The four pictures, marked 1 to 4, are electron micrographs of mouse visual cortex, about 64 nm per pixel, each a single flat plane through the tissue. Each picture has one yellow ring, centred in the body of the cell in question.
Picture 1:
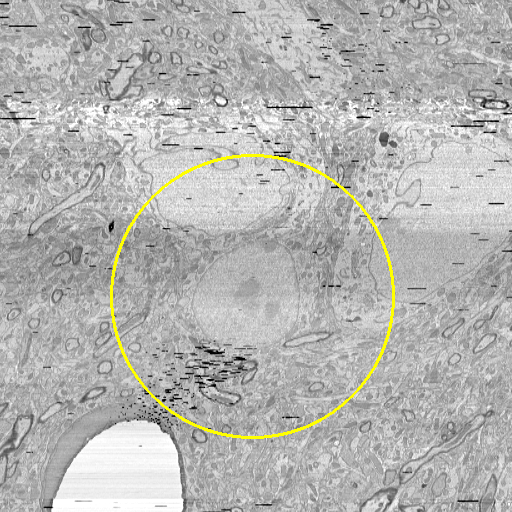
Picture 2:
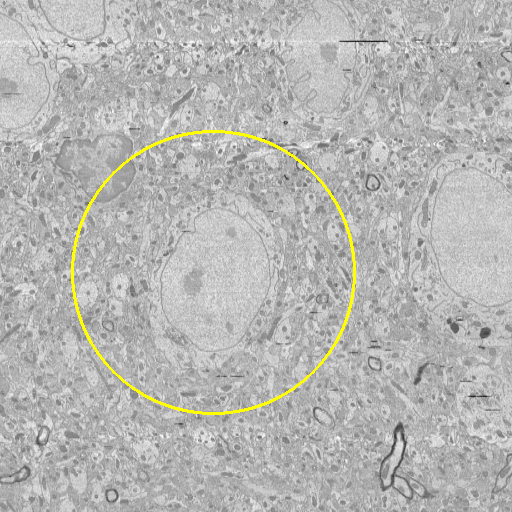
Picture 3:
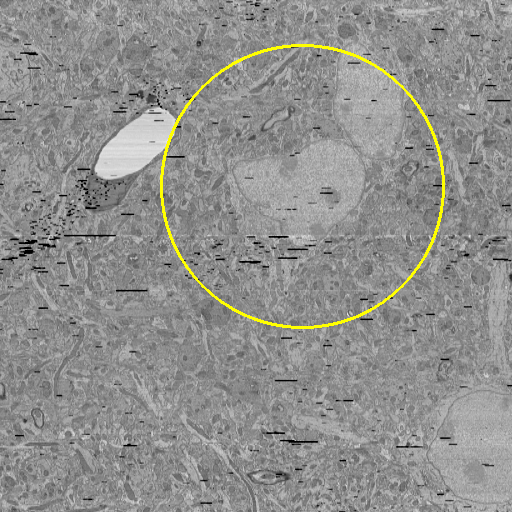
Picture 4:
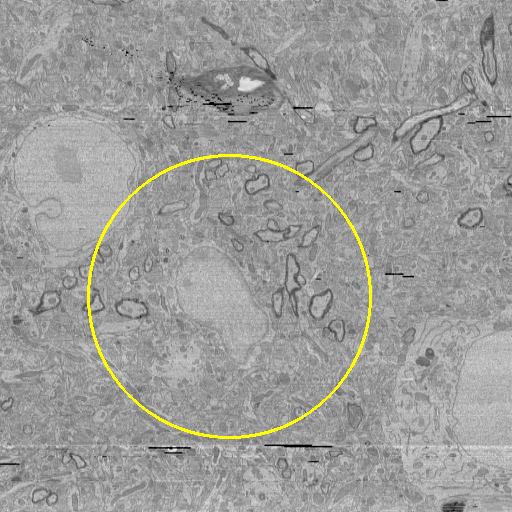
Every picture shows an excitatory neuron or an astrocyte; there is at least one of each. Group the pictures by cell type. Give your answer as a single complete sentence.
Picture 2 shows an excitatory neuron; pictures 1, 3 and 4 show astrocytes.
